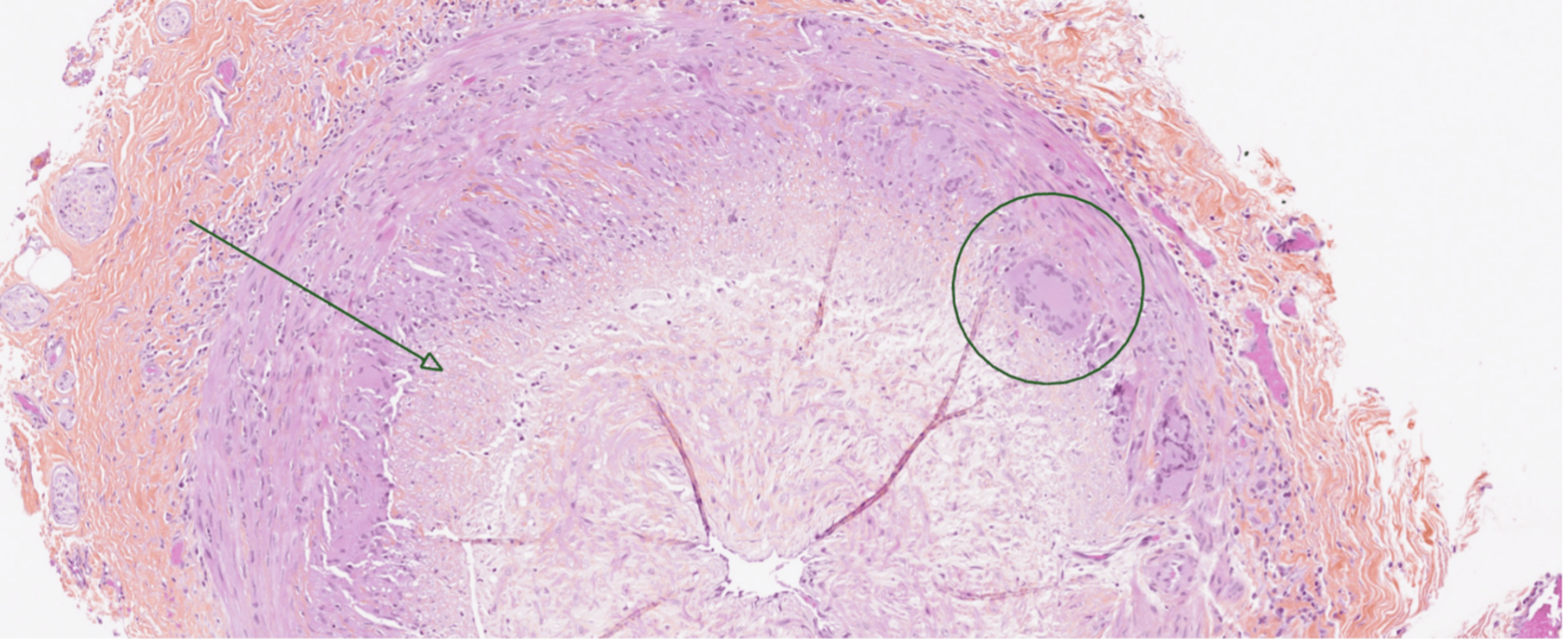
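A cross-section of a muscular artery with a very narrow, slit-like central lumen. A broad, pale, loose inner layer surrounds the lumen, with a denser pink muscular band outside it and an orange fibrous outer coat. Small cells with dark purple nuclei are scattered through every layer of the wall, from the inner layer out into the outer coat, where they gather more densely. Near the muscular band on one side lies a large cell holding several dark nuclei arranged in a ring around pink cytoplasm. Together these show a granulomatous inflammation through the whole artery wall, with lymphocytes and a multinucleated giant cell.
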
